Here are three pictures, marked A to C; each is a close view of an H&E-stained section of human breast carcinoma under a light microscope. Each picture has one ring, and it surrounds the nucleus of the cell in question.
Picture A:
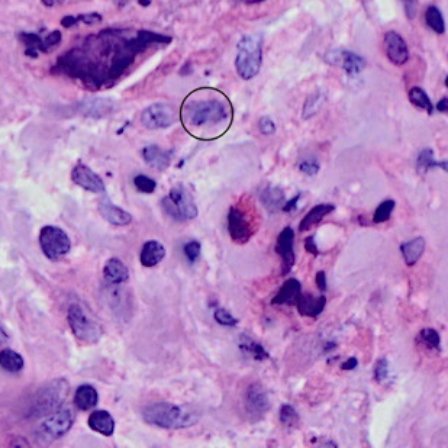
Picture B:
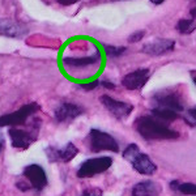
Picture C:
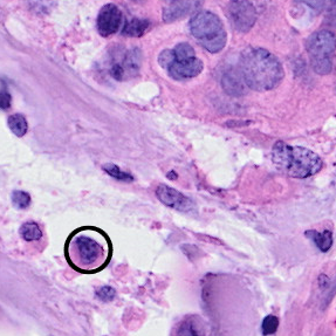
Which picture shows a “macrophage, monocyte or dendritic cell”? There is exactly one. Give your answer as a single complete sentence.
The cell in picture A is the “macrophage, monocyte or dendritic cell”.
